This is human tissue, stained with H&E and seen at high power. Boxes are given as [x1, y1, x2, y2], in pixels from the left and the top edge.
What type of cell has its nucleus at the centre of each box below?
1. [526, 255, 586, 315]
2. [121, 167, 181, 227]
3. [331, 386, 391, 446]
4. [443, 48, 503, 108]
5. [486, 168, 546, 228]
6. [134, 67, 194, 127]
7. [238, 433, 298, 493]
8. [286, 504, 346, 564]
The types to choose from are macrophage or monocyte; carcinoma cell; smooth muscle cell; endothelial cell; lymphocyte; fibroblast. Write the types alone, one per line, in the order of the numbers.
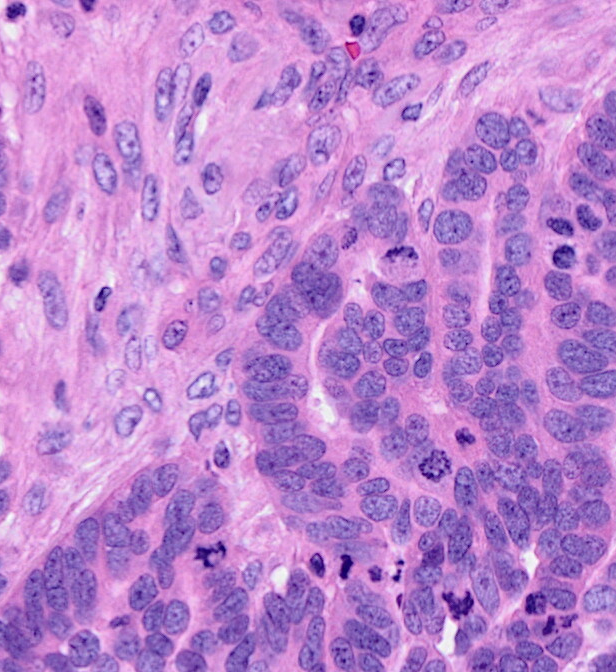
carcinoma cell
fibroblast
carcinoma cell
fibroblast
carcinoma cell
fibroblast
carcinoma cell
carcinoma cell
